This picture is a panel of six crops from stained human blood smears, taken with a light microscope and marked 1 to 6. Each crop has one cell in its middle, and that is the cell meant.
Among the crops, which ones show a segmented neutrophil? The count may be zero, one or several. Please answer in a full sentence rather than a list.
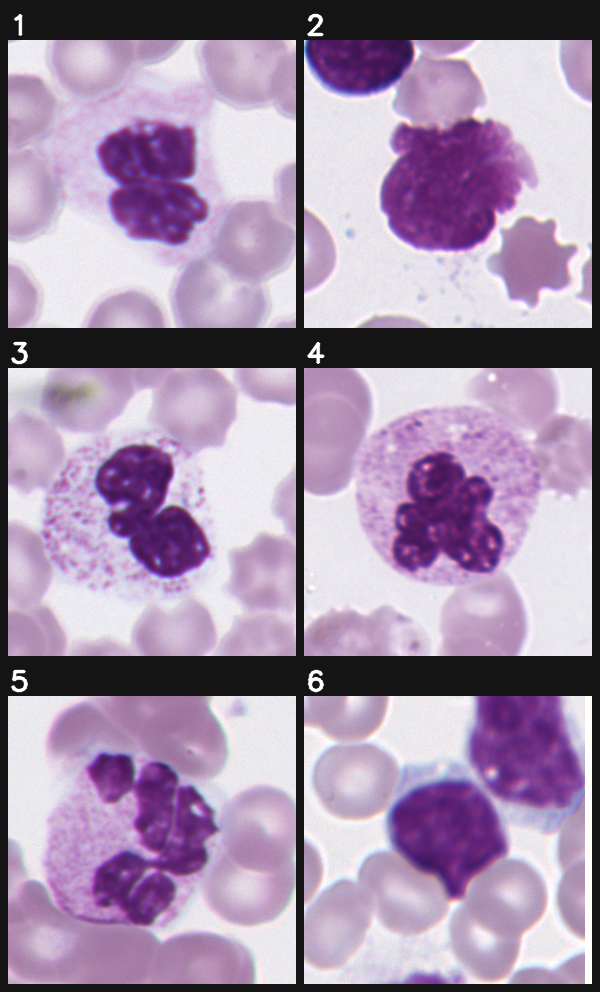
Within this set, crops 1, 3, 4 and 5 show segmented neutrophils.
